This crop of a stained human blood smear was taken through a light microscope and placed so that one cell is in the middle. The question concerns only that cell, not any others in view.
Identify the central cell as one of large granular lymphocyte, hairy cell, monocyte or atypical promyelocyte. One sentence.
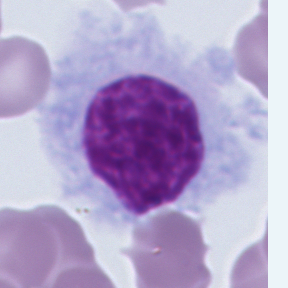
The cell centred in this crop is categorized as a hairy cell.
